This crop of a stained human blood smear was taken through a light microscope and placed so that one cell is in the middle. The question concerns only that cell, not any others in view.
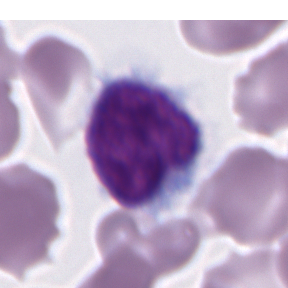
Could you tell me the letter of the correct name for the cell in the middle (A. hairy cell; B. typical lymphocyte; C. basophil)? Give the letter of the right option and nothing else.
A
